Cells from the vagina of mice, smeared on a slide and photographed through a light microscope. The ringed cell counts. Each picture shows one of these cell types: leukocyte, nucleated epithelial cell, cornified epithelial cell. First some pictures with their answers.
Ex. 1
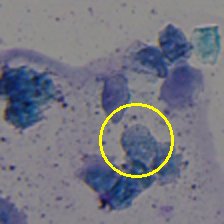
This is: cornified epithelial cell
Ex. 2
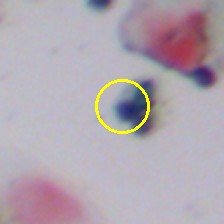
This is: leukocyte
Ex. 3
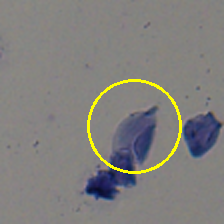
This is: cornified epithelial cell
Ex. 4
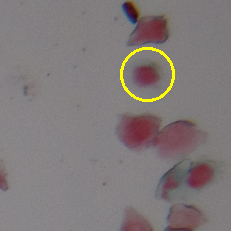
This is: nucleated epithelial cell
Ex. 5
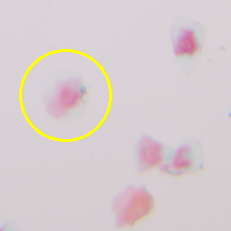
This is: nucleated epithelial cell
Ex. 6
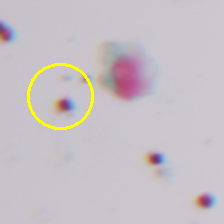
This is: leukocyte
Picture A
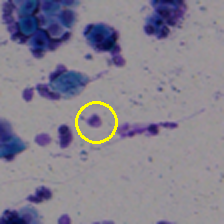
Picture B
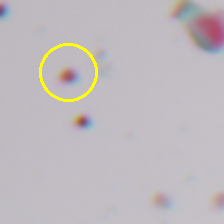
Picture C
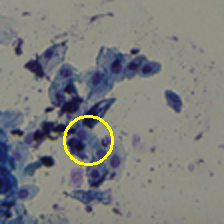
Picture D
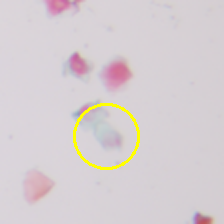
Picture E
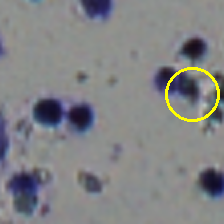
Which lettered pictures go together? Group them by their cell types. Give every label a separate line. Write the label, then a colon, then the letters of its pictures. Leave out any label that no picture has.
leukocyte: A, B, E
nucleated epithelial cell: C, D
